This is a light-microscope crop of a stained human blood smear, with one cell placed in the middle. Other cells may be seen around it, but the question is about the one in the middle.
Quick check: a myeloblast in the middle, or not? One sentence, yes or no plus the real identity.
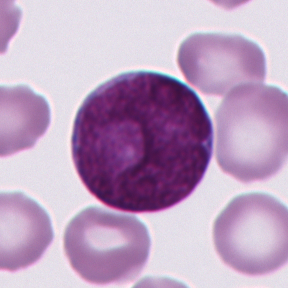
Yes, the middle cell here is a myeloblast.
